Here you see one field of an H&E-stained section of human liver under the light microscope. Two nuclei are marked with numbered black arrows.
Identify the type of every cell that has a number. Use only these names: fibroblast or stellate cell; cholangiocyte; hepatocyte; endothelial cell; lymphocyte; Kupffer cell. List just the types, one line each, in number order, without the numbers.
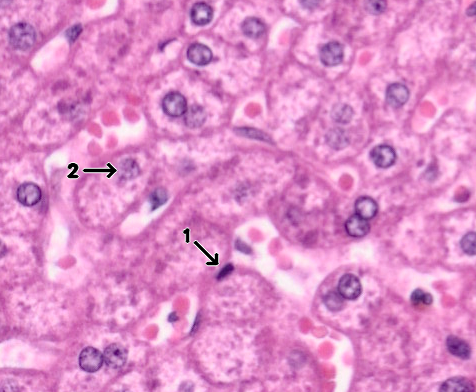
fibroblast or stellate cell
hepatocyte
